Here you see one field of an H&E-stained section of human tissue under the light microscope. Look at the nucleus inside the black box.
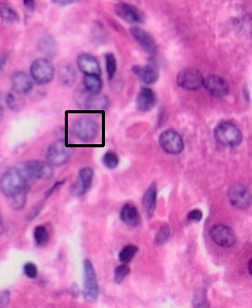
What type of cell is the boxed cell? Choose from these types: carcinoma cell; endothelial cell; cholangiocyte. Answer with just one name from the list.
cholangiocyte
